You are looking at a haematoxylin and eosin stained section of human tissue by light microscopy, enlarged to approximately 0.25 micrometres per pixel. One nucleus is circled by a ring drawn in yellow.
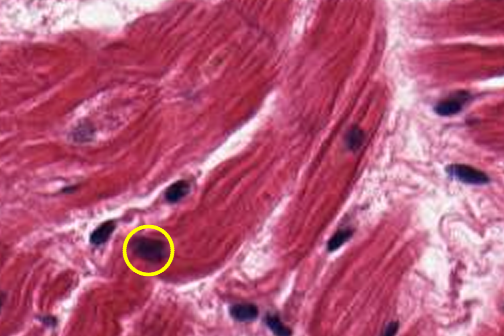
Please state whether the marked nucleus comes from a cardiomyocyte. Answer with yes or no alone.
yes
